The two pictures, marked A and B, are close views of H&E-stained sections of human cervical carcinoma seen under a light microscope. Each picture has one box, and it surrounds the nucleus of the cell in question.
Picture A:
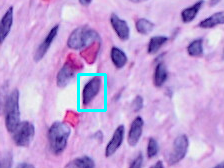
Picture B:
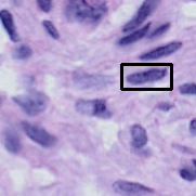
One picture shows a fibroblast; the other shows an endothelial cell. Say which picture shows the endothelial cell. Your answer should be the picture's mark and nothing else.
A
